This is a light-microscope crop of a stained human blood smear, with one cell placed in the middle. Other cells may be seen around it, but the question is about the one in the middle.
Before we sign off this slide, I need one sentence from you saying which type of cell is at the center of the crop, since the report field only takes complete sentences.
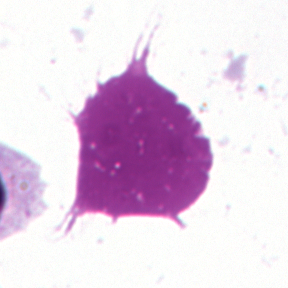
The single cell at the center of the crop is a smudge cell.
